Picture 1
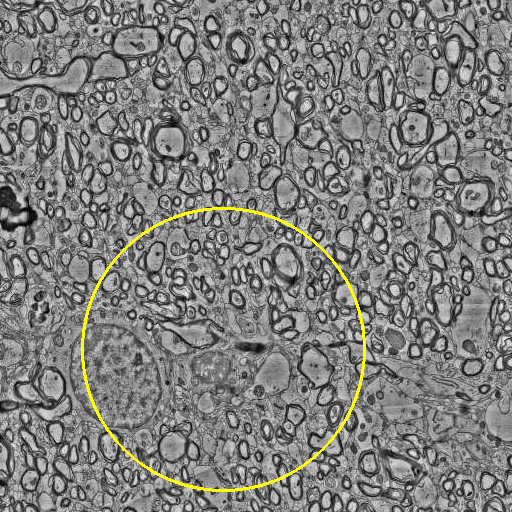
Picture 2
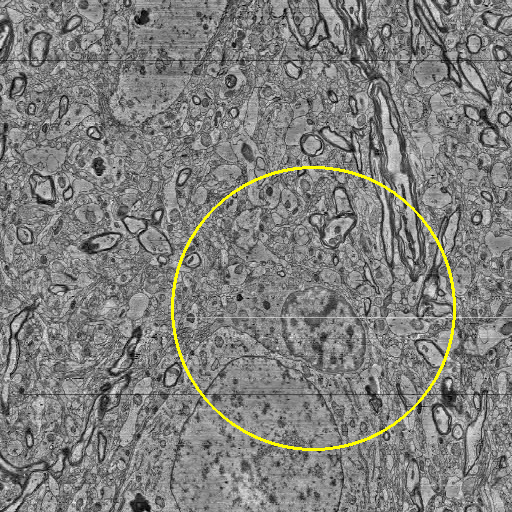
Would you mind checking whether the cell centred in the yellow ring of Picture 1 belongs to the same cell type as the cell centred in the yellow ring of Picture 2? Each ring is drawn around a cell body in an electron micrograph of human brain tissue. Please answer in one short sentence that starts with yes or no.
Yes, both cells are of the same type.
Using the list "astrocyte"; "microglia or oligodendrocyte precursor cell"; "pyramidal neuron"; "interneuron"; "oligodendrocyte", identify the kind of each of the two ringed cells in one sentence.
Both pictures show an oligodendrocyte at the centre of the ring.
